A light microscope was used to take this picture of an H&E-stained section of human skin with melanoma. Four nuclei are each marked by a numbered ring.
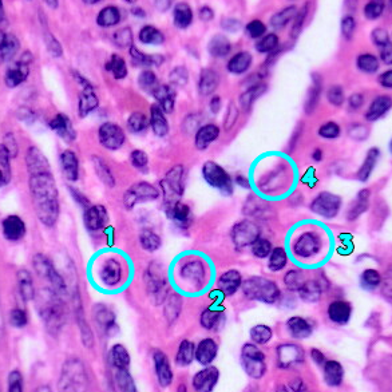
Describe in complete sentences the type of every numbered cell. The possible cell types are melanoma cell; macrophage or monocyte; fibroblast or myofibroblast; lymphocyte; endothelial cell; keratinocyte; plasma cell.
Cells 1 and 3 are lymphocytes. Cells 2 and 4 are endothelial cells.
